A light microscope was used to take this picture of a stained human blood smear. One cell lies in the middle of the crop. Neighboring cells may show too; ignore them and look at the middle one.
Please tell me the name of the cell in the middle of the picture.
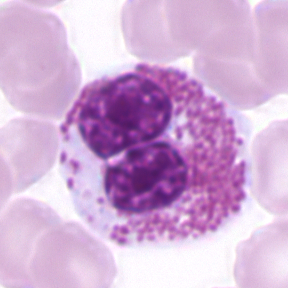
eosinophil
